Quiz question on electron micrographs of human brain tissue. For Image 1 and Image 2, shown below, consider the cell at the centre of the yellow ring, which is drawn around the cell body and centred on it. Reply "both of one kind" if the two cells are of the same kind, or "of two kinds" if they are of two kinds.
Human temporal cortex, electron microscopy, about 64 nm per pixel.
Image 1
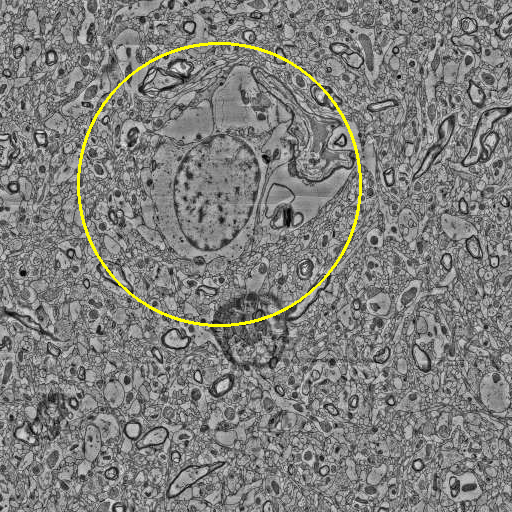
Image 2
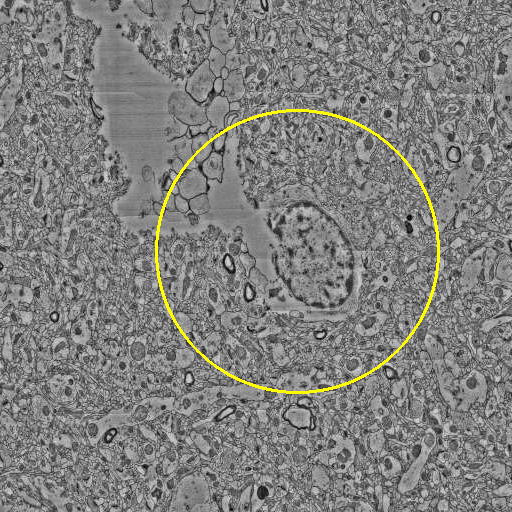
both of one kind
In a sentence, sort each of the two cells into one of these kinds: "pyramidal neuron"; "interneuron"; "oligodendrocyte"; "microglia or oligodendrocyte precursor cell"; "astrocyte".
Each one of the two ringed cells is a microglial cell or oligodendrocyte precursor cell.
